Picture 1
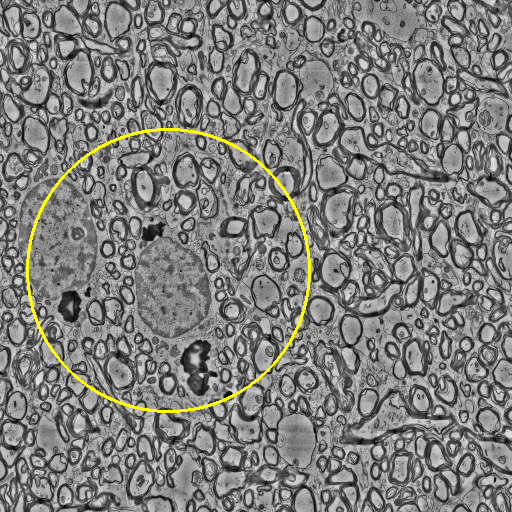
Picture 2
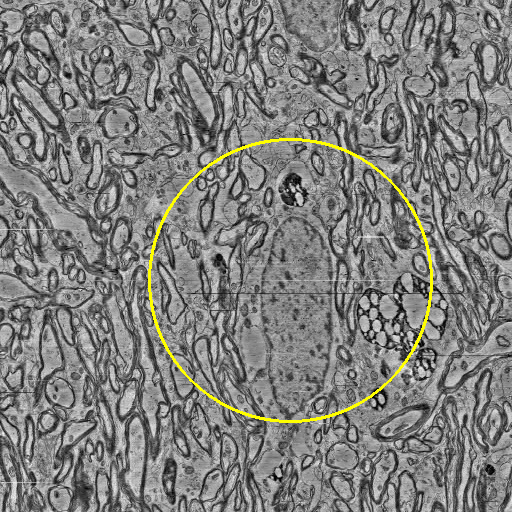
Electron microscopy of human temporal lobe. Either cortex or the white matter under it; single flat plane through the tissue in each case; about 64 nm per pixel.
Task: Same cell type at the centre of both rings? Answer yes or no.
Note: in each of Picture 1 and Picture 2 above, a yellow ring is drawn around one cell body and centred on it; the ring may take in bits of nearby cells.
no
